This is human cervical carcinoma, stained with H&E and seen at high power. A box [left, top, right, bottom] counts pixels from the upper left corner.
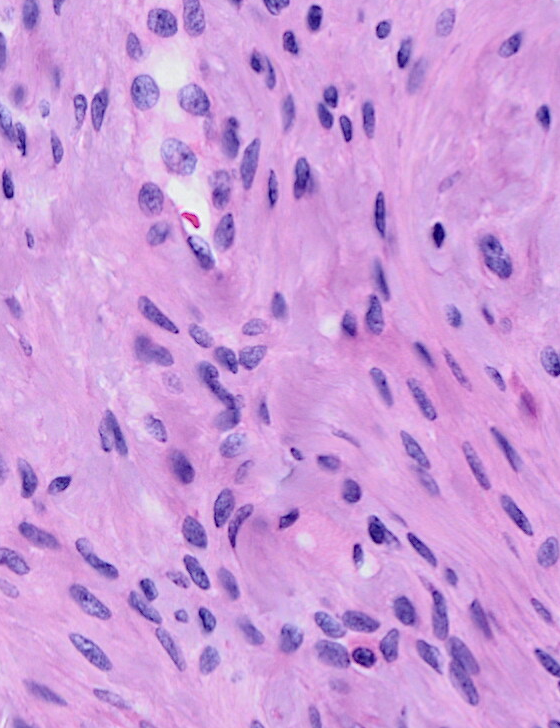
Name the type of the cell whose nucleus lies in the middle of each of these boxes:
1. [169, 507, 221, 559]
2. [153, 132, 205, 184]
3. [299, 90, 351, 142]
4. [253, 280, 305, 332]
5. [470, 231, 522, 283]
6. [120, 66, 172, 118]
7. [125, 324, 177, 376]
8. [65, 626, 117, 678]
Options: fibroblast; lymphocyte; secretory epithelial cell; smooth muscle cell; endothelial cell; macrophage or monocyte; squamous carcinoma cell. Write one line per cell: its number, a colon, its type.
1: fibroblast
2: endothelial cell
3: fibroblast
4: fibroblast
5: endothelial cell
6: endothelial cell
7: fibroblast
8: fibroblast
